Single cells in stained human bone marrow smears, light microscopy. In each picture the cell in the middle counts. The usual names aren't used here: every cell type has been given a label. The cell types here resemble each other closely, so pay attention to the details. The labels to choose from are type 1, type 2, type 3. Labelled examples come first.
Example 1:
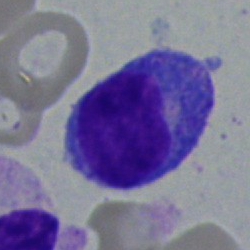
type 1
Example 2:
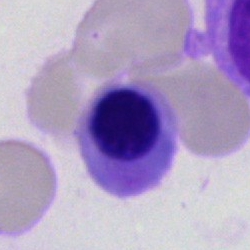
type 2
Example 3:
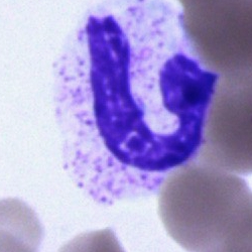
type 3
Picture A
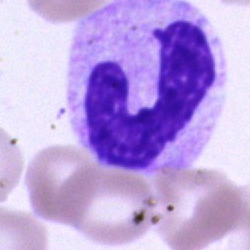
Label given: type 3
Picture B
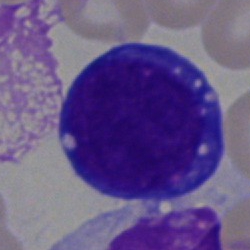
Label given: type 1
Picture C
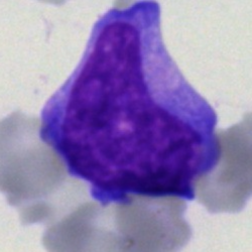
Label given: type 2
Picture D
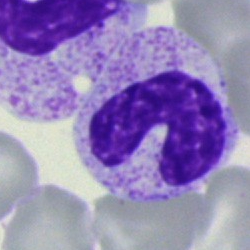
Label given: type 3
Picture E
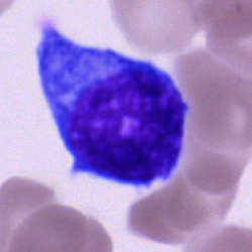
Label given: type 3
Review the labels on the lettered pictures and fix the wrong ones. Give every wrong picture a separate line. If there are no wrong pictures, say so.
C should be type 1, not type 2
E should be type 1, not type 3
